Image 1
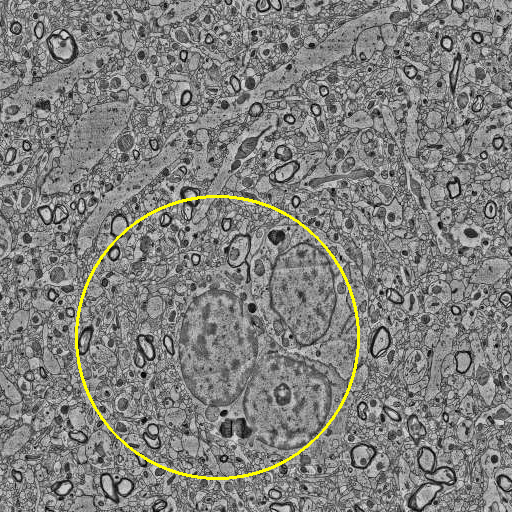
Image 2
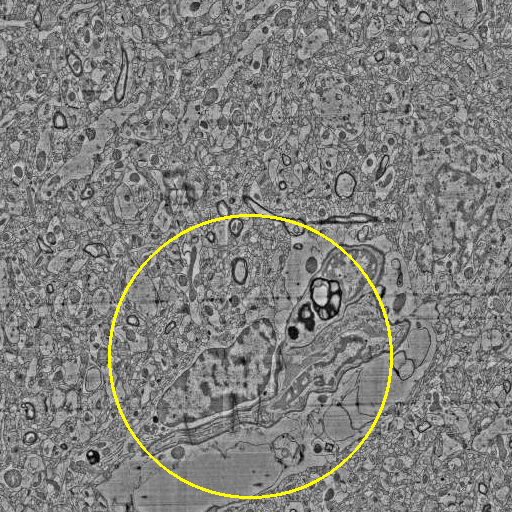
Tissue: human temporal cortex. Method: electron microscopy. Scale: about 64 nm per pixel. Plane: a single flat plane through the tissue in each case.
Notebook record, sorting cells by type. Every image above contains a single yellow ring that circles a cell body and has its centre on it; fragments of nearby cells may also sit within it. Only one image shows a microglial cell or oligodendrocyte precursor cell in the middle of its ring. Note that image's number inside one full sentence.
For image 2, the cell in the middle of its yellow ring is the match.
